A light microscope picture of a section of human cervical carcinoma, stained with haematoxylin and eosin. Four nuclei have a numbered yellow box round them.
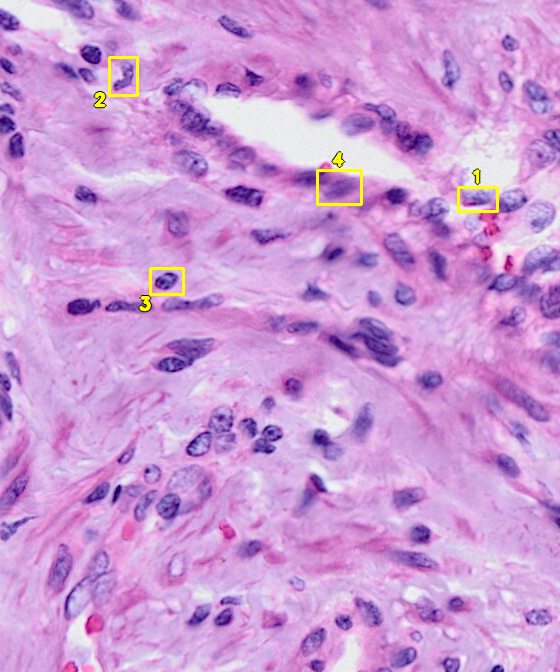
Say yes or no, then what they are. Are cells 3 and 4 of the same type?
No, cell 3 is a lymphocyte and cell 4 is an endothelial cell.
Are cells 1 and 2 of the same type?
No, cell 1 is an endothelial cell and cell 2 is a macrophage or monocyte.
